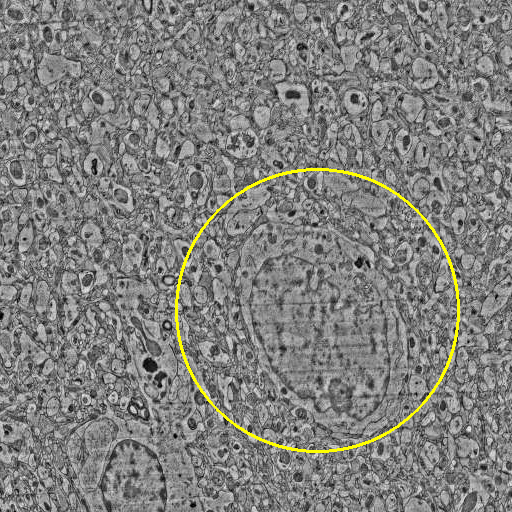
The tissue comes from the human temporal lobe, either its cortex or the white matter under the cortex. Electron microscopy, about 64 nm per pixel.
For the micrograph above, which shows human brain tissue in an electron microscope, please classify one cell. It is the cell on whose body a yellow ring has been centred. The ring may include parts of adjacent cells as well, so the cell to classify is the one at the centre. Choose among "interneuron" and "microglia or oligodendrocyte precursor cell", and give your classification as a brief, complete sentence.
I classify this cell as an interneuron.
